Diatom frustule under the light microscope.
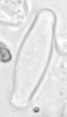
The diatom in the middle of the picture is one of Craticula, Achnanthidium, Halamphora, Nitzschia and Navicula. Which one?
Achnanthidium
